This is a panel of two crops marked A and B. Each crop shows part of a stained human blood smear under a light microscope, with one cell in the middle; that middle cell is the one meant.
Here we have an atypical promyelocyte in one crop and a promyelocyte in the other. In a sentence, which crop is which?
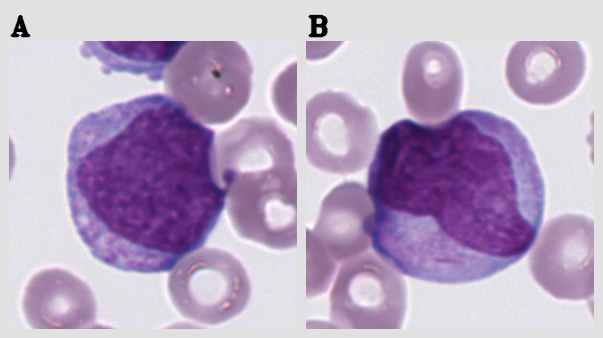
Displayed in crop A is a promyelocyte, while crop B displays an atypical promyelocyte.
